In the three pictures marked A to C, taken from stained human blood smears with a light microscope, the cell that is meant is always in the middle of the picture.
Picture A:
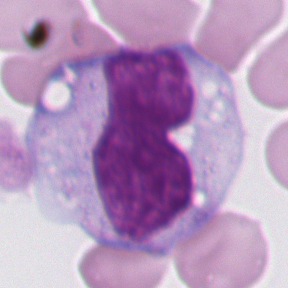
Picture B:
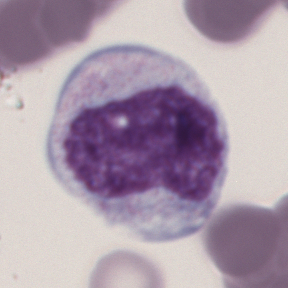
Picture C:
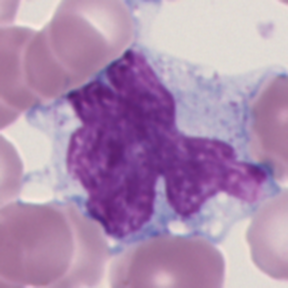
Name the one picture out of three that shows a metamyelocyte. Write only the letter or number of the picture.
B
